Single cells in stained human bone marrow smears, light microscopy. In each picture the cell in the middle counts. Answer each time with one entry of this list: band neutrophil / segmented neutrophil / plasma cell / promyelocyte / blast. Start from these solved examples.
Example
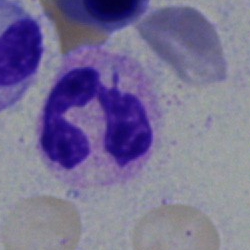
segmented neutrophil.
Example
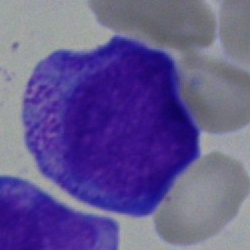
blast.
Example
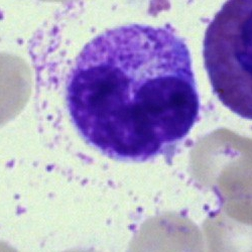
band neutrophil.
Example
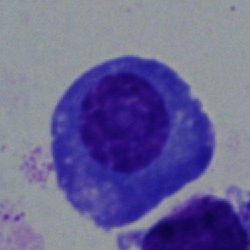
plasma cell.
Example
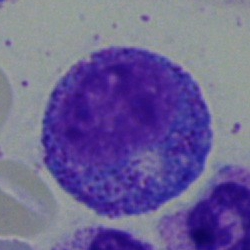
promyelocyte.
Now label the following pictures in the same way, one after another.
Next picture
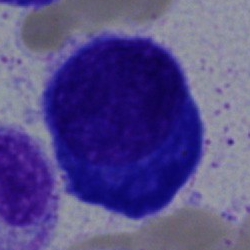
plasma cell.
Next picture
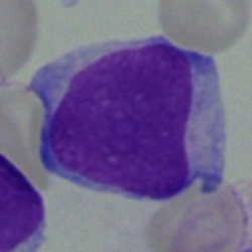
blast.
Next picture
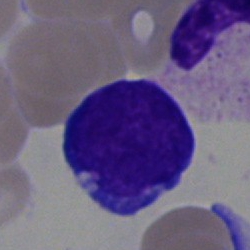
blast.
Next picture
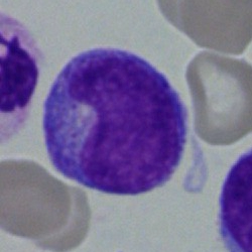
blast.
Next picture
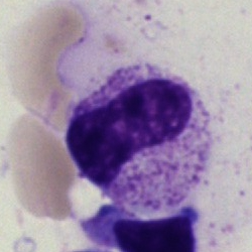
band neutrophil.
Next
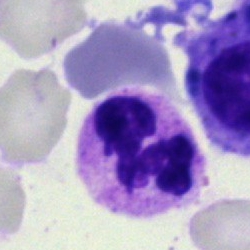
segmented neutrophil.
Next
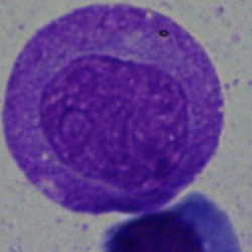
blast.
